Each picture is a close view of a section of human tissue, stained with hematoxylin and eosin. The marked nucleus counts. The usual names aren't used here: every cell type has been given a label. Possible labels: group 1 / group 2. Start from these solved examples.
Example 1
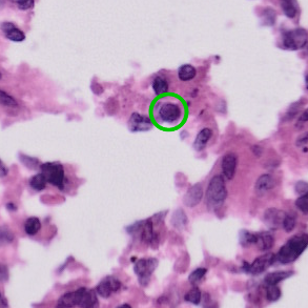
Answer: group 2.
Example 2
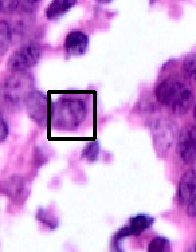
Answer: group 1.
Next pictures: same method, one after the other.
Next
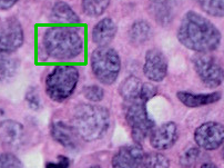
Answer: group 1.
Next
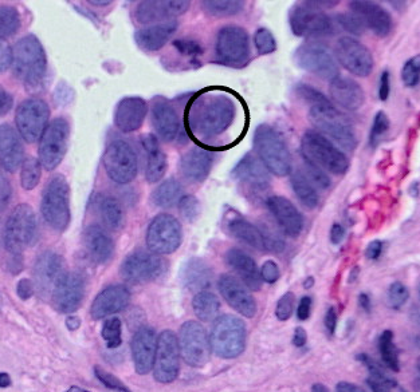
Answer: group 1.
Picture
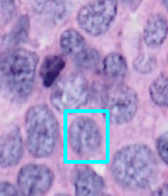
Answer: group 1.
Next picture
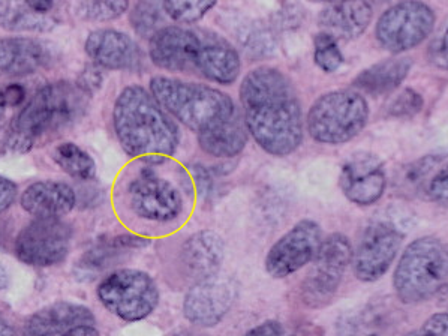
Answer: group 2.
